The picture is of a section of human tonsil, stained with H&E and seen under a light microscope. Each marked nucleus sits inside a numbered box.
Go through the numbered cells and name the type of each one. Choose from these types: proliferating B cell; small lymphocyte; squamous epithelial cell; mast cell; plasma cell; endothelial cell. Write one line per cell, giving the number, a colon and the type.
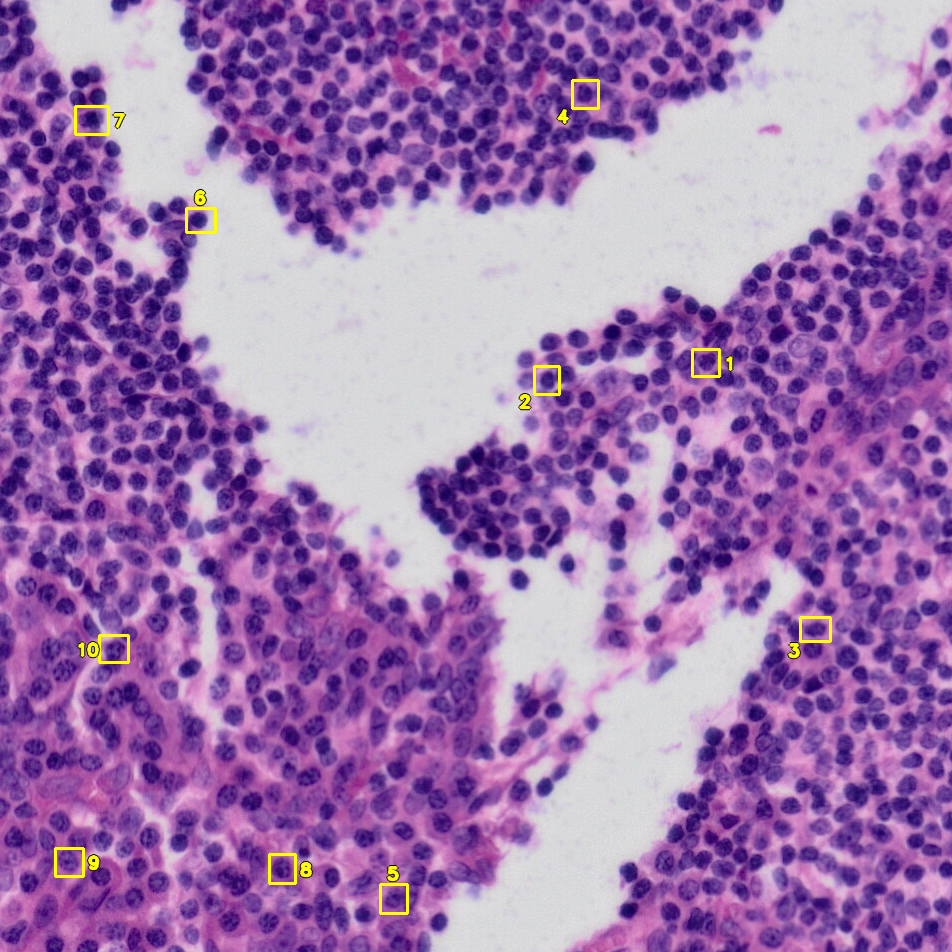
1: small lymphocyte
2: small lymphocyte
3: small lymphocyte
4: small lymphocyte
5: plasma cell
6: small lymphocyte
7: small lymphocyte
8: plasma cell
9: plasma cell
10: plasma cell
